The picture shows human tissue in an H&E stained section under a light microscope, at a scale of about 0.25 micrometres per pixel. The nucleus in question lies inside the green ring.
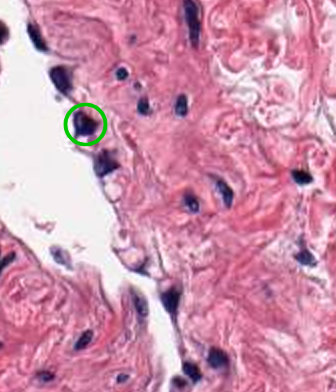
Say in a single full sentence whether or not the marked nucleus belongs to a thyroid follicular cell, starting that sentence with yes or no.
No, it is a supporting cell whose nucleus is marked, not a thyroid follicular cell.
